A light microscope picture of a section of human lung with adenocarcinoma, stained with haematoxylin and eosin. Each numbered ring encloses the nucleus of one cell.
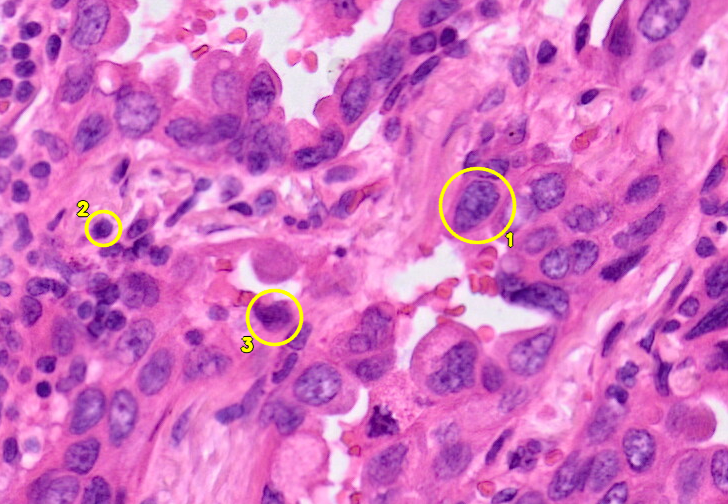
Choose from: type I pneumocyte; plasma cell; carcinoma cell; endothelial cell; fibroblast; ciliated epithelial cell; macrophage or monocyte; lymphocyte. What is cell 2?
lymphocyte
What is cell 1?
carcinoma cell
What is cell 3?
carcinoma cell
